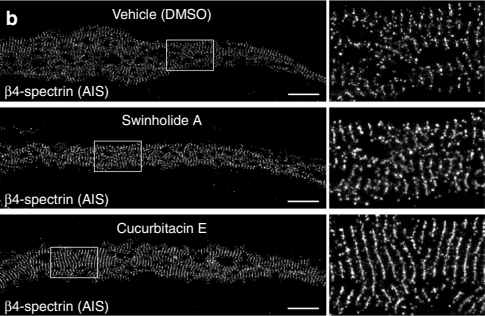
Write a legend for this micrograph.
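The labeled material appears as white dots on a black background, arranged in thin transverse bands that cross the axon at regular intervals along its length. In the enlarged views the bands stand as a ladder-like series of short stripes running perpendicular to the axon's long axis. In the lowest image the bands are especially crisp, long and closely aligned, forming a striking regular striation.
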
